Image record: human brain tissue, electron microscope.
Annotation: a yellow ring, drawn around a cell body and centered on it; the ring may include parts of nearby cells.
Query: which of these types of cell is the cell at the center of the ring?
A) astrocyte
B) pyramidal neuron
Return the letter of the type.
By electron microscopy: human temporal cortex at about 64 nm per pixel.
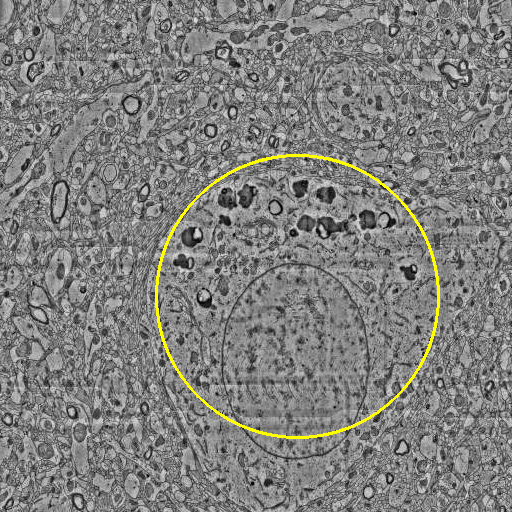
B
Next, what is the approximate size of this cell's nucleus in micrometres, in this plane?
In this plane, approximately 13 by 10 micrometers.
